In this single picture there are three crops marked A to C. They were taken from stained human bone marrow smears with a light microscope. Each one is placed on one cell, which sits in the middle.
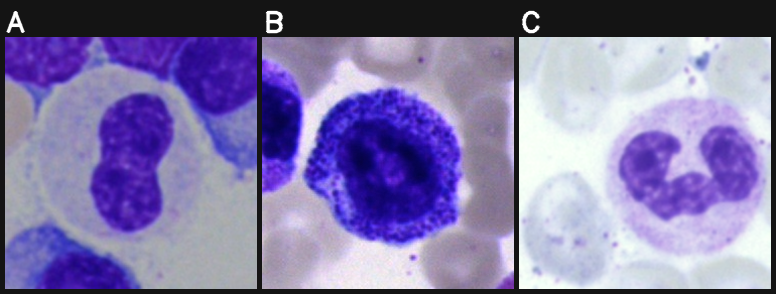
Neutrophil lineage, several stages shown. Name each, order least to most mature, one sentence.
Proceeding from least to most mature, the order is crop B (a promyelocyte), crop A (a band neutrophil) and crop C (a segmented neutrophil).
